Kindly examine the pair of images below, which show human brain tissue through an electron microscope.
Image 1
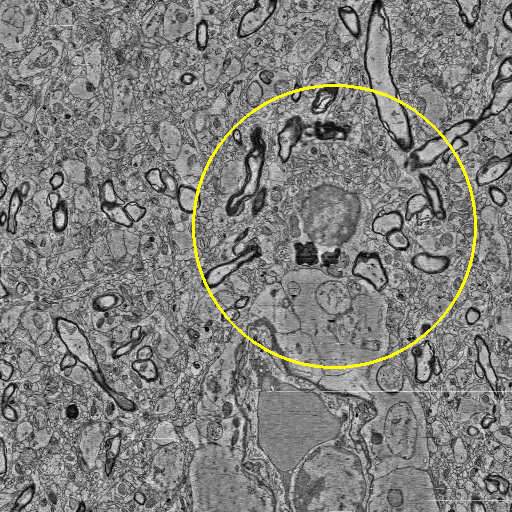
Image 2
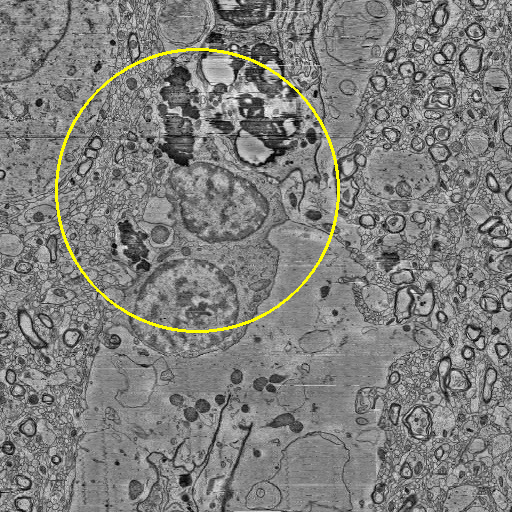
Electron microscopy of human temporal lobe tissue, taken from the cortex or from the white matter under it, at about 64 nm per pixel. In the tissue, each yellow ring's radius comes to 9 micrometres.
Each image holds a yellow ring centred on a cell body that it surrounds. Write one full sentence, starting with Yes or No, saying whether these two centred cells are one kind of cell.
Yes, both cells at the centres of the yellow rings belong to one kind of cell.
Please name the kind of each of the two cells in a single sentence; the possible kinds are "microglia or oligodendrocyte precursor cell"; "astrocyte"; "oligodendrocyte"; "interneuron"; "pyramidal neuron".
Both cells are the same kind, each one being an oligodendrocyte.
